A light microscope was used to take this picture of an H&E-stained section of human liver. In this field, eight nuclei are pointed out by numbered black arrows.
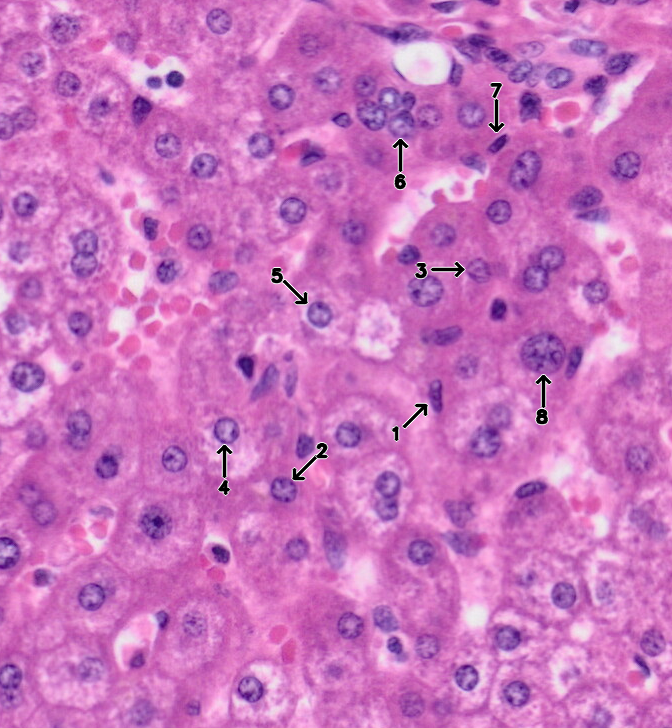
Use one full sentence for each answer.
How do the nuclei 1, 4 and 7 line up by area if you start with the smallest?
From smallest to largest, the order is 7, 1, 4.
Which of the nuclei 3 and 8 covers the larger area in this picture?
Of the two, number 8 is bigger and takes up about 3 times the area of number 3.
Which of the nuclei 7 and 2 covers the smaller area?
Nucleus 7 covers less area, with nucleus 2 about 2 times as large.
